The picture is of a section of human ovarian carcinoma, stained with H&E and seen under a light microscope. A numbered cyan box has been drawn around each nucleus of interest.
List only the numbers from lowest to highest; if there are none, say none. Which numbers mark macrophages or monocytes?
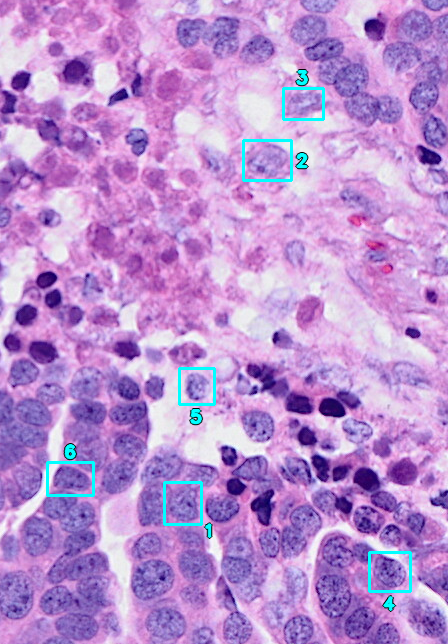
5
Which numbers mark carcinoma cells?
1, 4, 6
